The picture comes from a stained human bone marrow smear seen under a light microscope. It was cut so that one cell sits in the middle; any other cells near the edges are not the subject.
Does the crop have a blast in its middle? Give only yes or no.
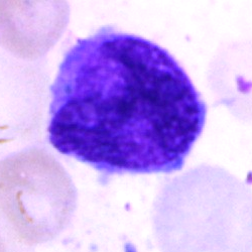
yes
